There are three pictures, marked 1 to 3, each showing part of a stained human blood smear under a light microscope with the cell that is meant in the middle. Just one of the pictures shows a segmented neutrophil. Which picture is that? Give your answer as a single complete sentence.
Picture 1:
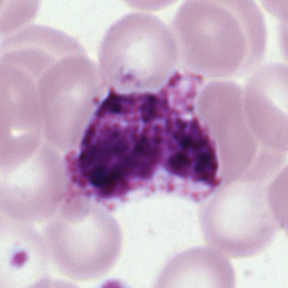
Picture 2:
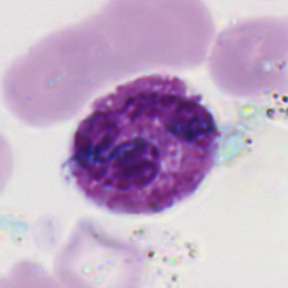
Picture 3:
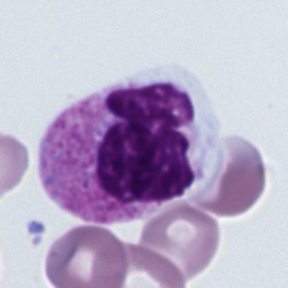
The cell in picture 3 is the segmented neutrophil.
